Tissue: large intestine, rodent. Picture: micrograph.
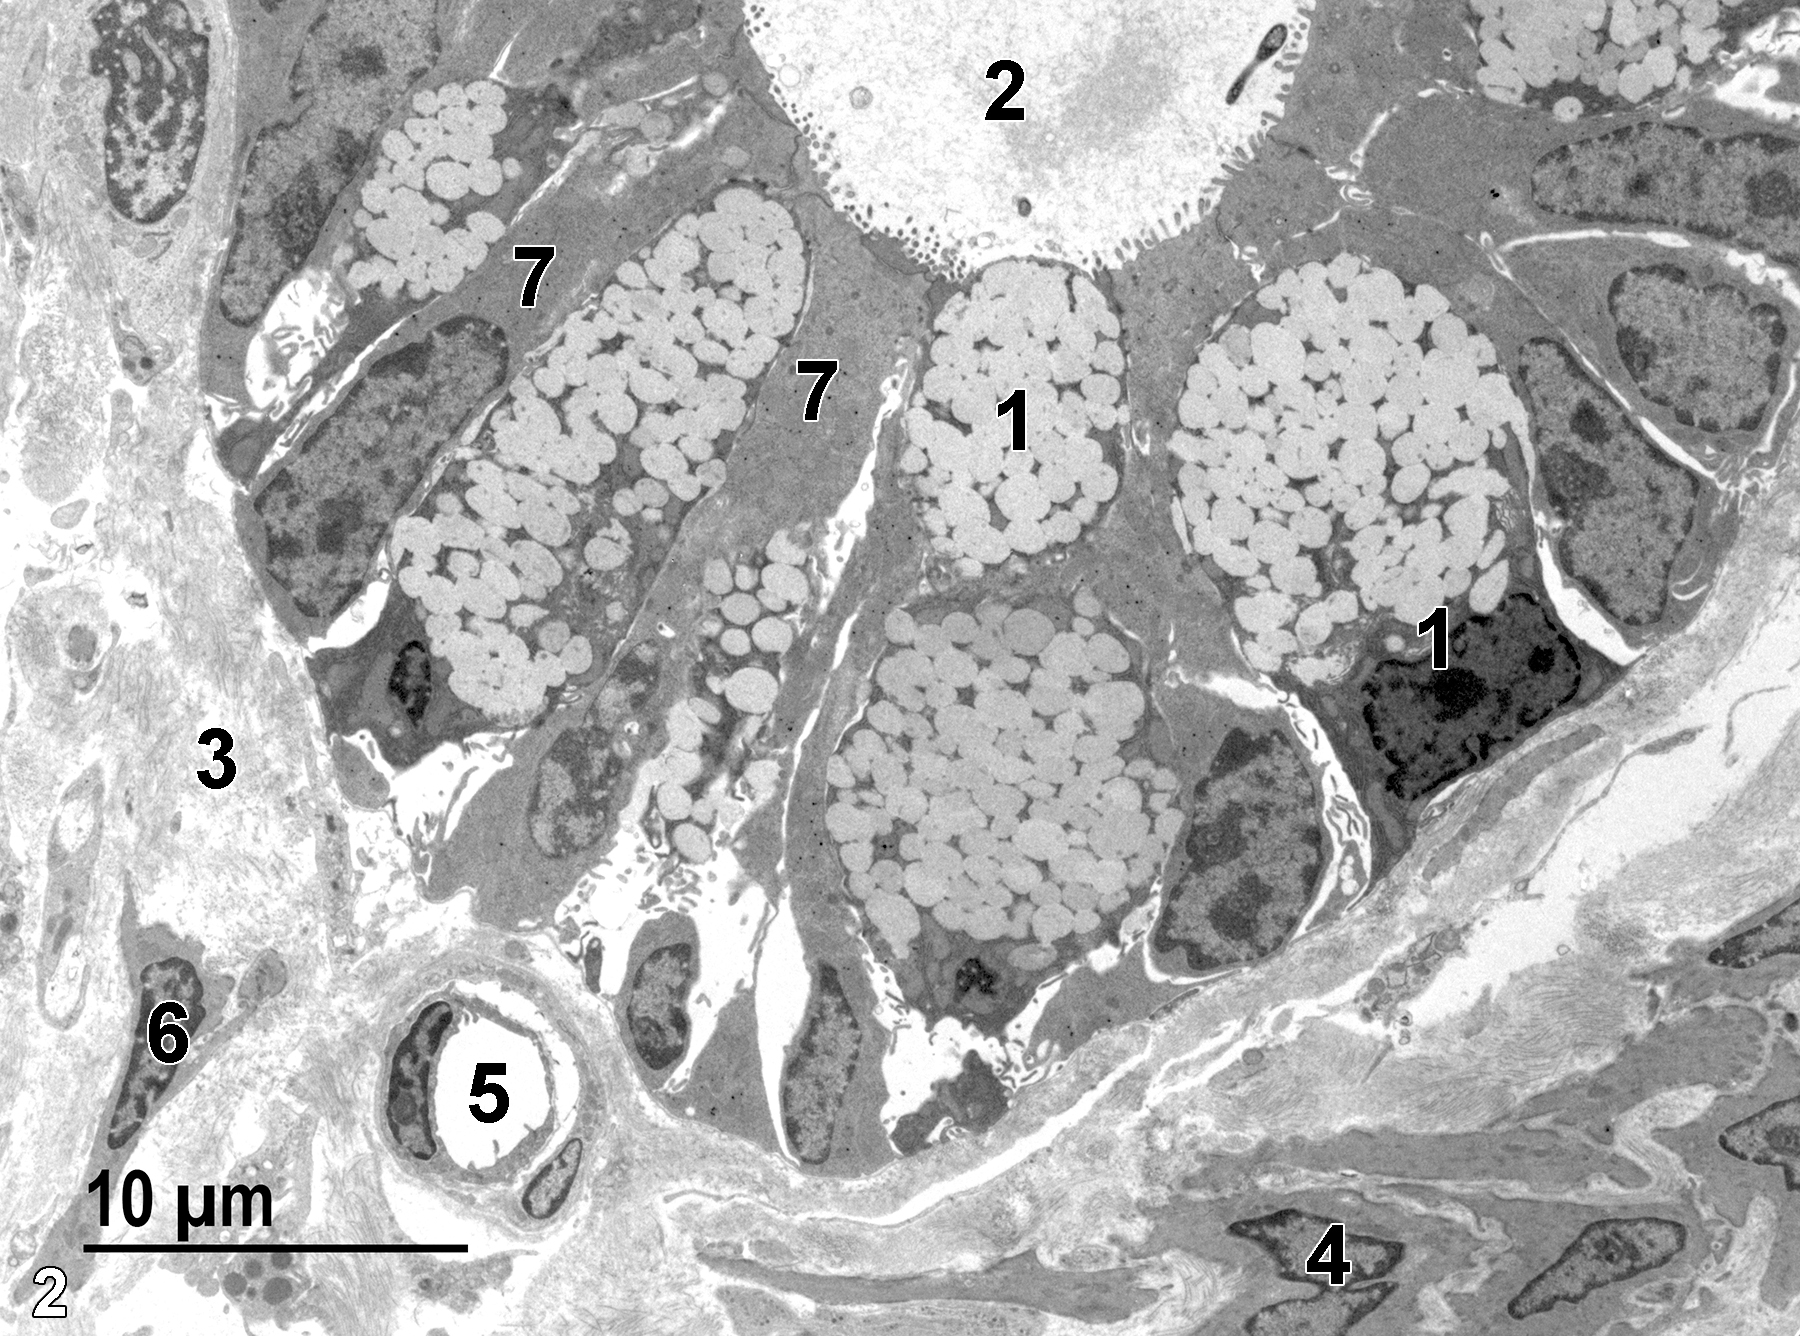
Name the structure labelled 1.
Mucous cells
